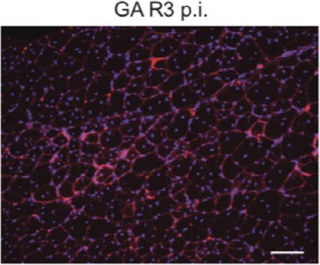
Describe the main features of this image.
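A cross-section of skeletal muscle shows closely packed polygonal fiber profiles of varied size, each outlined by thin red membrane staining, with small round blue nuclei scattered over the section, many lying inside the fibers rather than at their rim. A few brighter red irregular patches lie between fibers. The inwardly placed nuclei fit regenerated muscle fibers.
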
